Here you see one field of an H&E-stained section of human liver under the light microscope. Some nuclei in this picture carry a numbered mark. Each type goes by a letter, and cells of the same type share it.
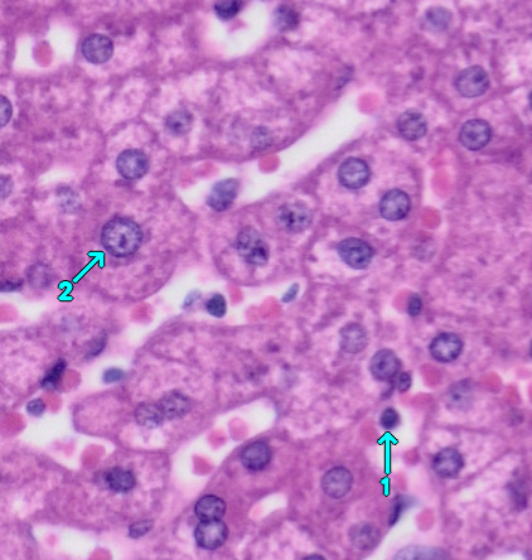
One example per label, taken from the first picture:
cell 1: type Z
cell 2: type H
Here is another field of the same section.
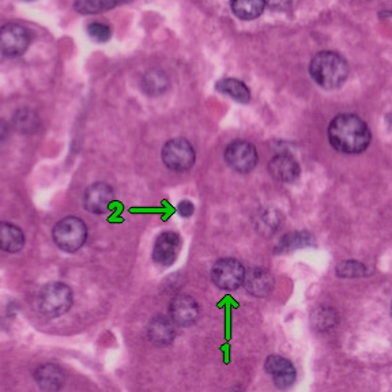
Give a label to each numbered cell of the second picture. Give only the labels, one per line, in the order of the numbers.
type H
type Z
